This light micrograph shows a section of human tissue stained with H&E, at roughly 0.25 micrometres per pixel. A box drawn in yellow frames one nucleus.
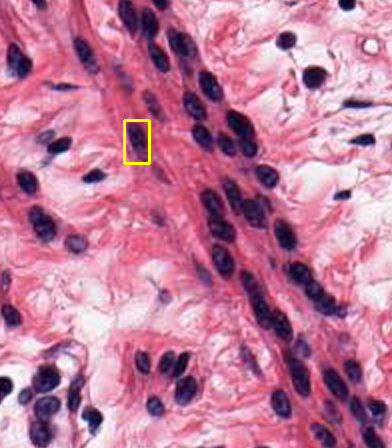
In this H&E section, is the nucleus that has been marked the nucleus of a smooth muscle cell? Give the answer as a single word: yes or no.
yes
